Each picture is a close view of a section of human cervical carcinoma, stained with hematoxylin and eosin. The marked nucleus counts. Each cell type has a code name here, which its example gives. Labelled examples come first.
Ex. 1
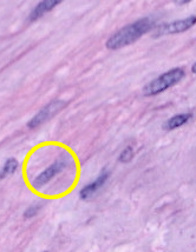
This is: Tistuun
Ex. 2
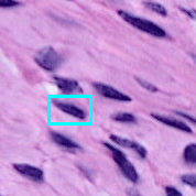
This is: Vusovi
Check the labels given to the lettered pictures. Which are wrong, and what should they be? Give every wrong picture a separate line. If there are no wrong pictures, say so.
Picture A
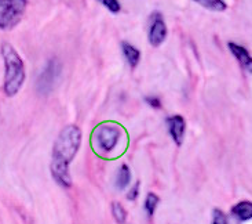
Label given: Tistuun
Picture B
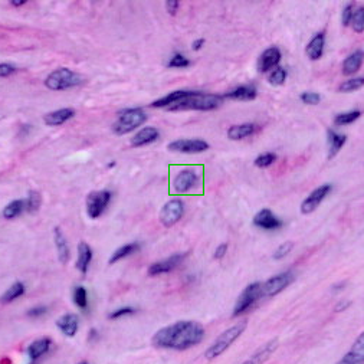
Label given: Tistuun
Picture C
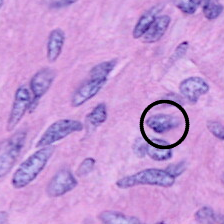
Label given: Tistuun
All correct.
